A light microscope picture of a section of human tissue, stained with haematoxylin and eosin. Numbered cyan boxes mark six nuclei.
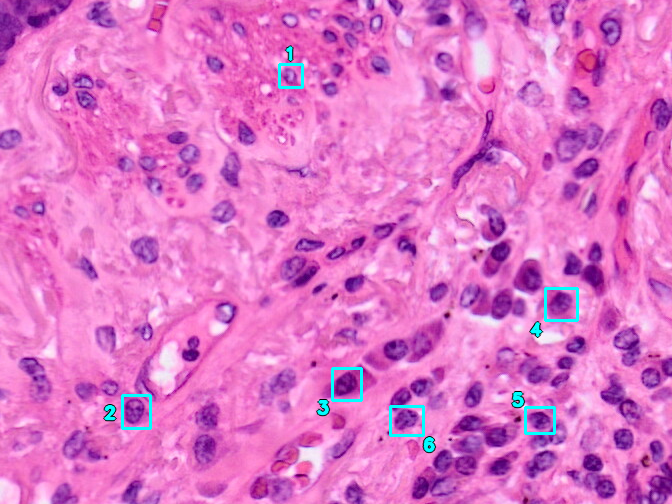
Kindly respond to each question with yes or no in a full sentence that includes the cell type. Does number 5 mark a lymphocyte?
Yes, it checks out; the cell labelled 5 is a lymphocyte.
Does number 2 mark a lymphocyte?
No, the marker 2 sits on a plasma cell, not on a lymphocyte.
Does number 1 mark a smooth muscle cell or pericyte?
Yes, in the section, number 1 is a smooth muscle cell or pericyte.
